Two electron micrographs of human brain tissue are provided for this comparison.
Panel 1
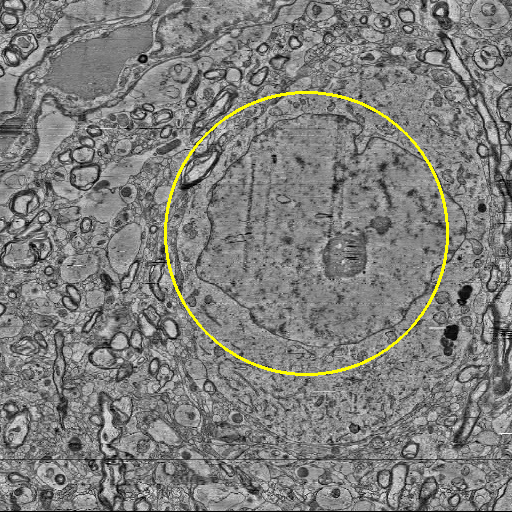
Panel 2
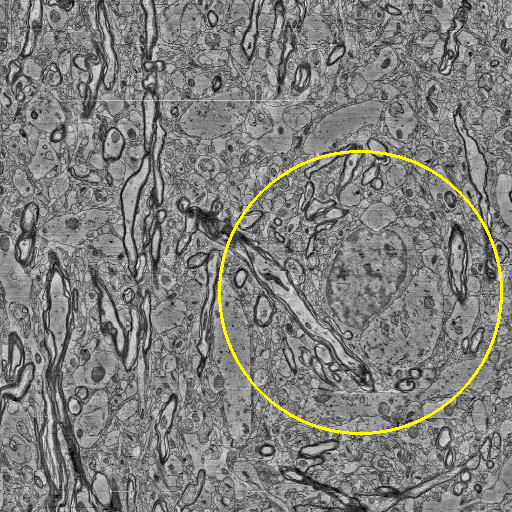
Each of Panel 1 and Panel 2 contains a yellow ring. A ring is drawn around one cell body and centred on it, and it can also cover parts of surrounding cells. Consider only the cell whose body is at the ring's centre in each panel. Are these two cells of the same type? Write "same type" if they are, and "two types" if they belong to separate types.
two types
